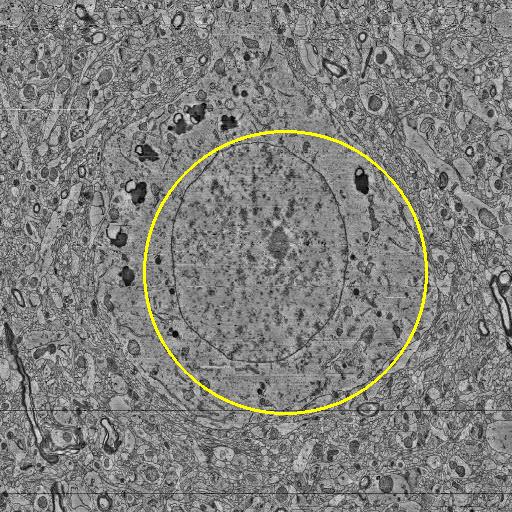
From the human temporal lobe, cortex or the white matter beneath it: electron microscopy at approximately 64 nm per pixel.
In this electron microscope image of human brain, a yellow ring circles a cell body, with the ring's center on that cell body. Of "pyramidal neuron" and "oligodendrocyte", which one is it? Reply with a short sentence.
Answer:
It is a pyramidal neuron at the center of the ring.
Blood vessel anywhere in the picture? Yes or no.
No, no vessel shows anywhere in the image.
